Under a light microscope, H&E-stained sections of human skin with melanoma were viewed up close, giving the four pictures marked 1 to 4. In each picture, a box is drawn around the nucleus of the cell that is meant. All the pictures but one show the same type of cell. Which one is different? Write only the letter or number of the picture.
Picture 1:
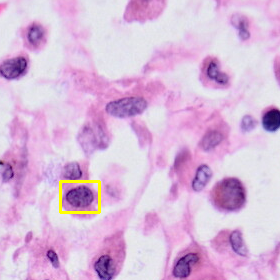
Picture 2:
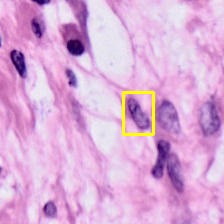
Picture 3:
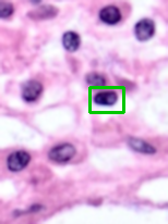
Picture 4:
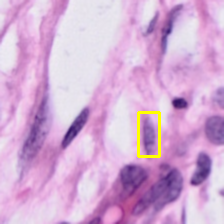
3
